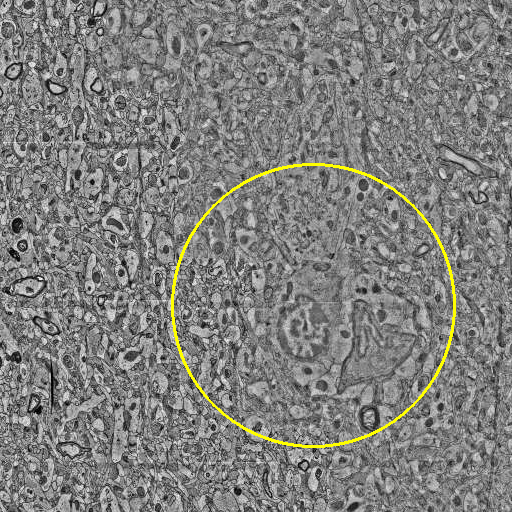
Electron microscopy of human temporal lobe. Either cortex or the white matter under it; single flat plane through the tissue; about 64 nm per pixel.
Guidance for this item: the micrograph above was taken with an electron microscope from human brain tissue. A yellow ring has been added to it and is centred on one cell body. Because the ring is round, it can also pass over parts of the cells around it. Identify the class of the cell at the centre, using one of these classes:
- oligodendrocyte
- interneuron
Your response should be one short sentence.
The ring surrounds the body of an oligodendrocyte.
